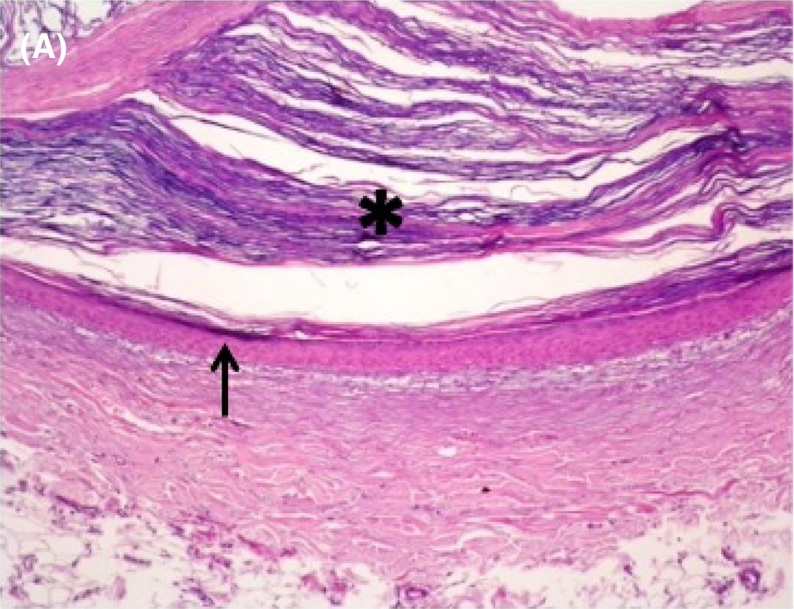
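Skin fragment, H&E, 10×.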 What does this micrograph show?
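The cyst is lined by a thin squamous epithelium, which has a darker purple band at its top. The lumen above is filled with wavy, stacked layers of purple and pink keratin that has no nuclei and is split by clear clefts. Beneath the lining lies dense pink collagenous tissue, and fat lies at the bottom.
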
